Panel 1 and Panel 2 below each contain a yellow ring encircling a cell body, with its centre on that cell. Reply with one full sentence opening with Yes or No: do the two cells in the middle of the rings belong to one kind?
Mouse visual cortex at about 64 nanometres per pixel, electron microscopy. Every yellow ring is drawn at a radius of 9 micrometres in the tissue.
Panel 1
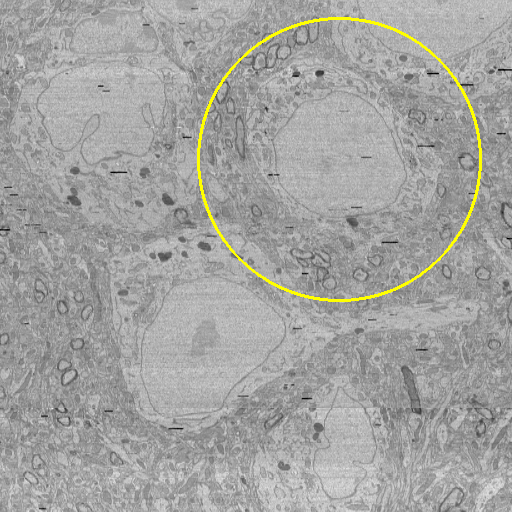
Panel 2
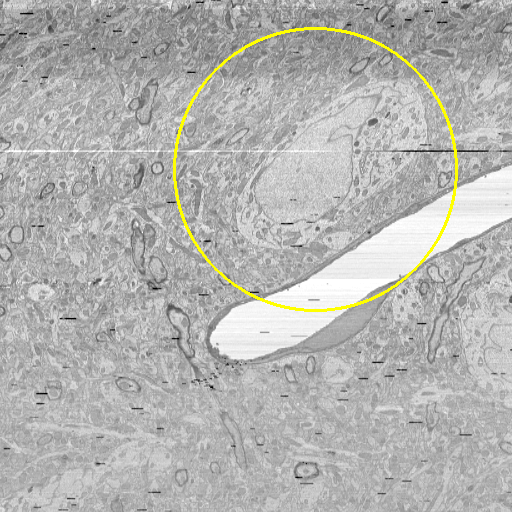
Yes, the cells at the middle of the Panel 1 ring and the Panel 2 ring are of one kind.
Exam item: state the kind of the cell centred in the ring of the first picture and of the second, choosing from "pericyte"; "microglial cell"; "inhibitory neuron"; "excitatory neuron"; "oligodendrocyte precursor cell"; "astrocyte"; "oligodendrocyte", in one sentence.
The cell at the ring centre is an inhibitory neuron in both pictures.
